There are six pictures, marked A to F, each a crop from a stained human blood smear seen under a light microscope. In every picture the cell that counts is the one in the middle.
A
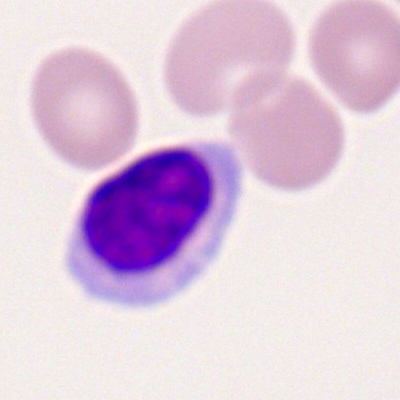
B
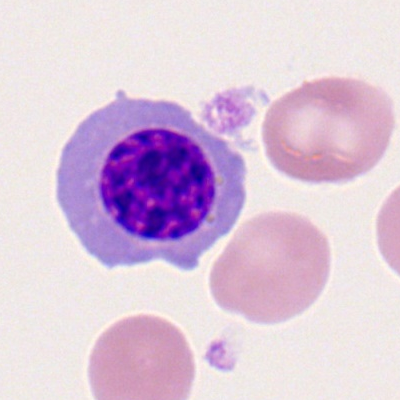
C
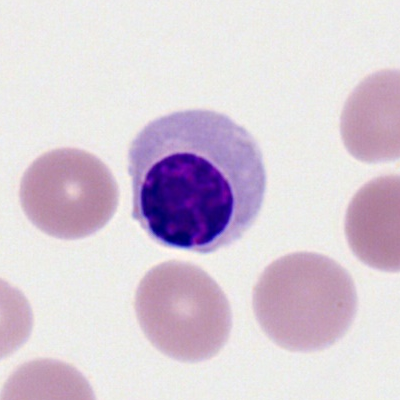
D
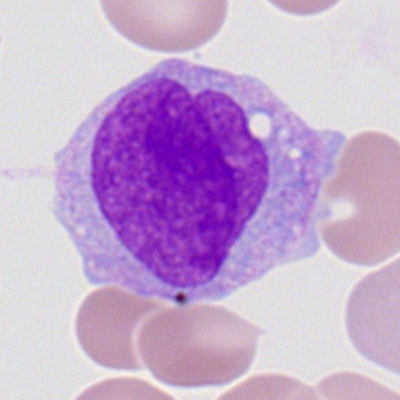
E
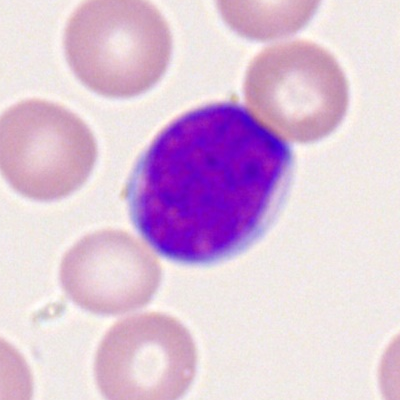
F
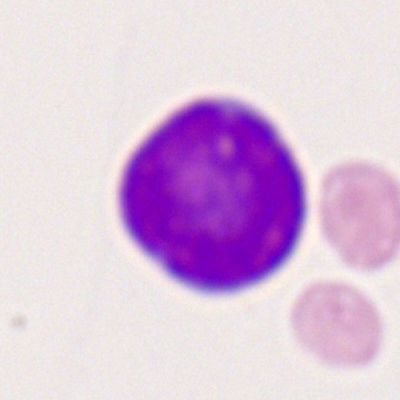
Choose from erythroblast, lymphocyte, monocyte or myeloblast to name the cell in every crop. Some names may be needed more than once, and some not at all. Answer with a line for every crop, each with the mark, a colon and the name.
A: lymphocyte
B: erythroblast
C: erythroblast
D: monocyte
E: myeloblast
F: myeloblast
